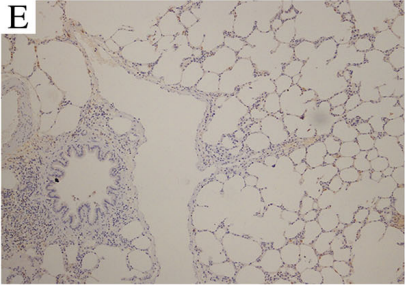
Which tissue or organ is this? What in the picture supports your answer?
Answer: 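Lung. Network of thin alveolar walls around empty air spaces. A large airway with a folded epithelial lining.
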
